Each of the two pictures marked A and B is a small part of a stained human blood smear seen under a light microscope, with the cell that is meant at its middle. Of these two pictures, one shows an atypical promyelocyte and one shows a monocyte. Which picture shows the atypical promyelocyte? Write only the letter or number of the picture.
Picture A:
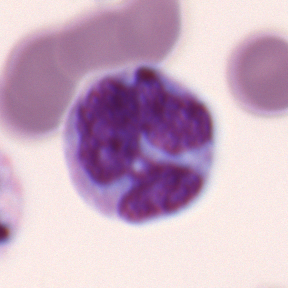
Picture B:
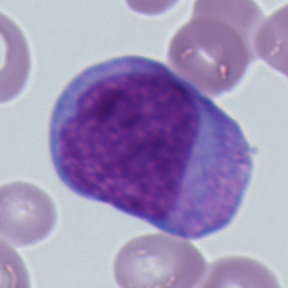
B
